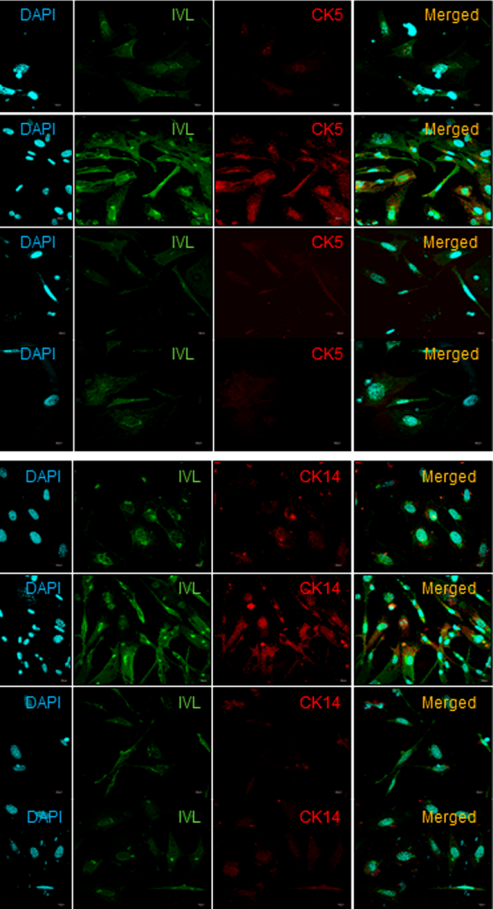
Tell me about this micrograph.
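In some rows the cytoplasm is filled with bright green and red labelling that outlines elongated and polygonal cell bodies. In other rows the labelling is faint and the cells are shown mainly by their nuclei.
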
